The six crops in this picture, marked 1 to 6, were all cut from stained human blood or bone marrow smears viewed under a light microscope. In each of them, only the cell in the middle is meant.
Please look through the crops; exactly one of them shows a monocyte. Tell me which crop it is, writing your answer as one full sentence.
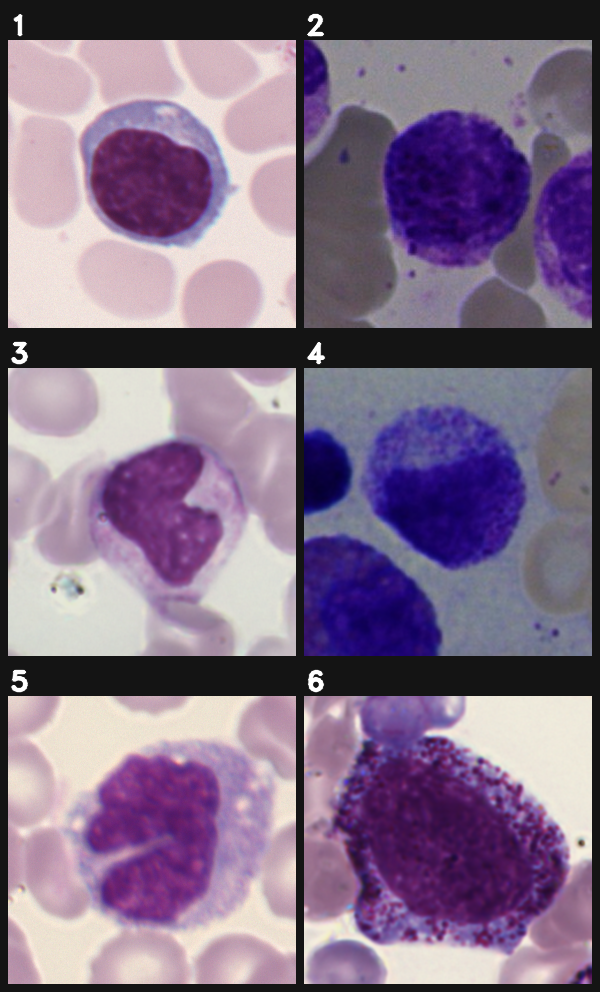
Of the labeled crops, the one with a monocyte is crop 5.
